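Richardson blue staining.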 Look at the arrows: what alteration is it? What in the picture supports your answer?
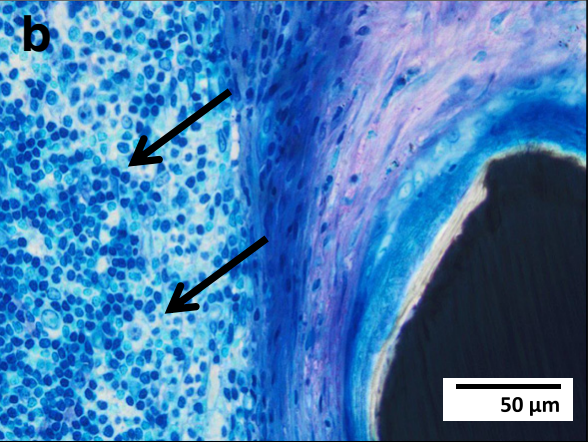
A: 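The arrows point to a dense sheet of small round cells. The cells have small, round, darkly stained nuclei with scant cytoplasm.
Hence: lymphocytic infiltration.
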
